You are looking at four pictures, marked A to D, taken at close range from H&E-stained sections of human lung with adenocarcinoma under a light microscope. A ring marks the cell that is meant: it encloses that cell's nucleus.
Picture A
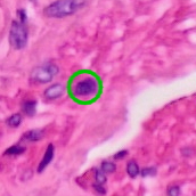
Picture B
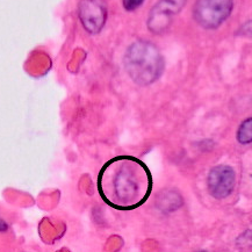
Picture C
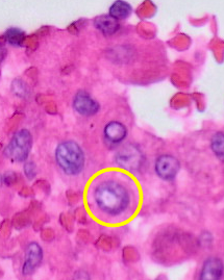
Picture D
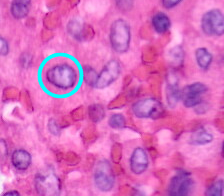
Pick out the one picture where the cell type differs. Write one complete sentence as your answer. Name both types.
The different one is picture A; it shows a “smooth muscle cell or pericyte”, whereas all the others show “macrophages or monocytes”.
